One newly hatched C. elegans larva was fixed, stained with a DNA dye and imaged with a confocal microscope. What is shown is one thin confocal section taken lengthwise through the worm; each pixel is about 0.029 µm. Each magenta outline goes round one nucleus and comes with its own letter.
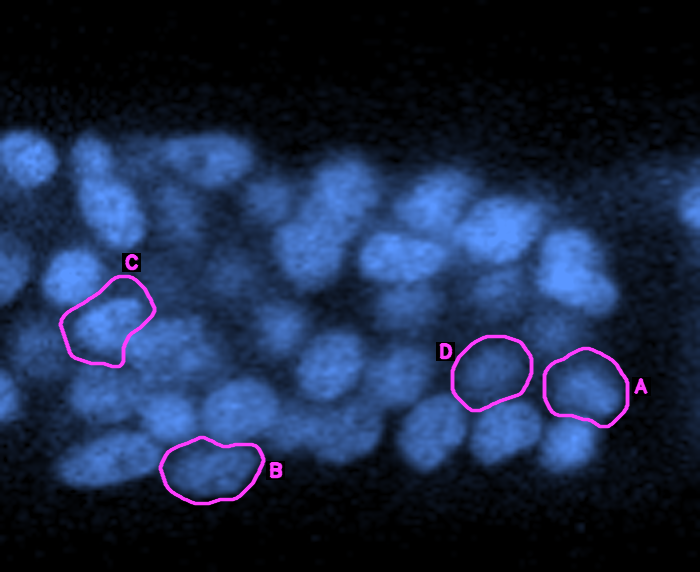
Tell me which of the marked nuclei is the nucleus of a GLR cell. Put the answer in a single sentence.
Nucleus A belongs to a GLR cell.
